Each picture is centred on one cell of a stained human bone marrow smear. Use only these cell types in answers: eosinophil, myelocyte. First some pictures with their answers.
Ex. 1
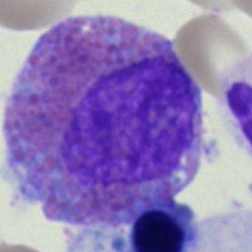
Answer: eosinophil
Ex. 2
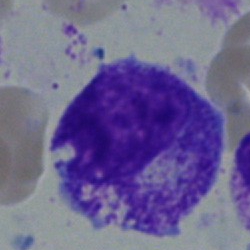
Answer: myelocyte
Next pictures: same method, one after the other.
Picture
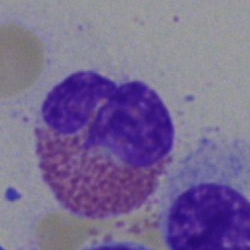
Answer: eosinophil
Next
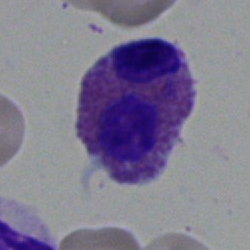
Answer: eosinophil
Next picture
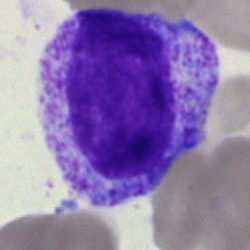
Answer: myelocyte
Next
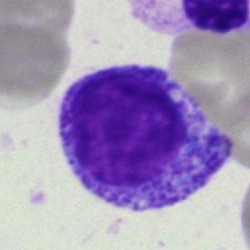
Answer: myelocyte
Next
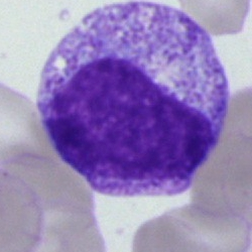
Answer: myelocyte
